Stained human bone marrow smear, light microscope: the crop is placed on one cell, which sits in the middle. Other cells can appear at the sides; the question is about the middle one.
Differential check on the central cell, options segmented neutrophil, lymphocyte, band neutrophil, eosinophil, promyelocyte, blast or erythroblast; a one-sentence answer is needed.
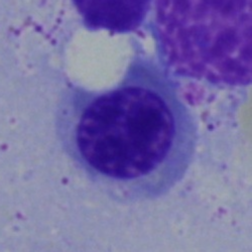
Centred in the crop is an erythroblast.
